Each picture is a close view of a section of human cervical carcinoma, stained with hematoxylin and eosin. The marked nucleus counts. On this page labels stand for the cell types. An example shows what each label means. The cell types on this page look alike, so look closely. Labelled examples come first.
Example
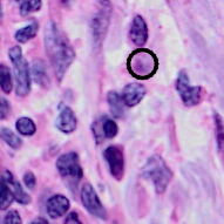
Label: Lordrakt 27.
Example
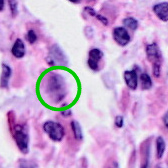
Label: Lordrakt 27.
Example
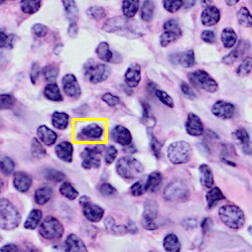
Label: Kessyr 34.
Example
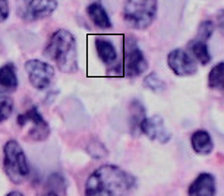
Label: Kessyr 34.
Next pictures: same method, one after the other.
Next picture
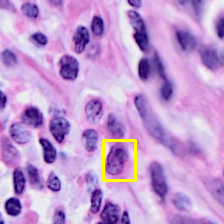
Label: Lordrakt 27.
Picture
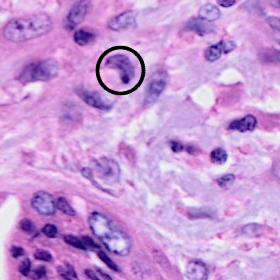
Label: Lordrakt 27.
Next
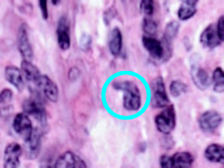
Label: Kessyr 34.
